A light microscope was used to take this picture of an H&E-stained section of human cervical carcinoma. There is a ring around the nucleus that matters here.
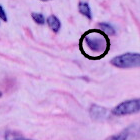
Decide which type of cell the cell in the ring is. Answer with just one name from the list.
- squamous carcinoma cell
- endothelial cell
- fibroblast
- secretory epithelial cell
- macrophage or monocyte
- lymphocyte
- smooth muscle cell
smooth muscle cell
